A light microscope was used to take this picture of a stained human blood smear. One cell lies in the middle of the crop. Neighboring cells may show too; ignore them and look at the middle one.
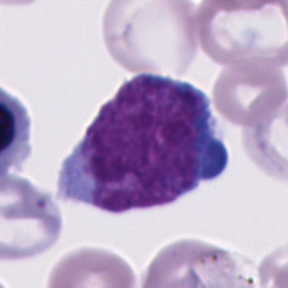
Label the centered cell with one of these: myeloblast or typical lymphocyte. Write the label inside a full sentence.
The centrally placed cell is classified as a myeloblast.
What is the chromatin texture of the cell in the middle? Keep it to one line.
Heads up, the chromatin is fine with no coarse clumps in it.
